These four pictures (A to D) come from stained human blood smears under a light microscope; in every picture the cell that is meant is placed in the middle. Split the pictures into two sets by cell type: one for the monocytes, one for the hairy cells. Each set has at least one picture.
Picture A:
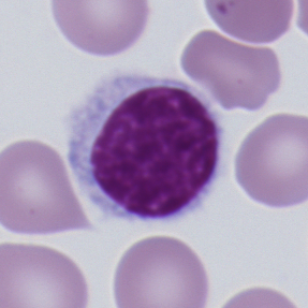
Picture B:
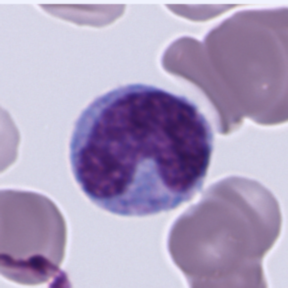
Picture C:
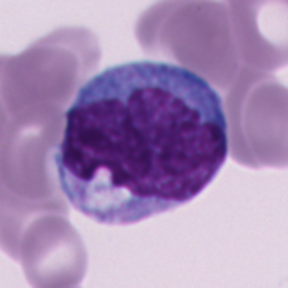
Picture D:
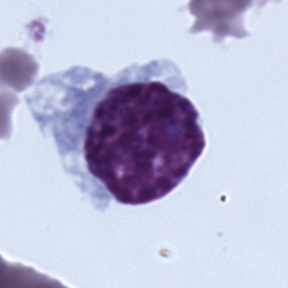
A: hairy cell
B: monocyte
C: monocyte
D: hairy cell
